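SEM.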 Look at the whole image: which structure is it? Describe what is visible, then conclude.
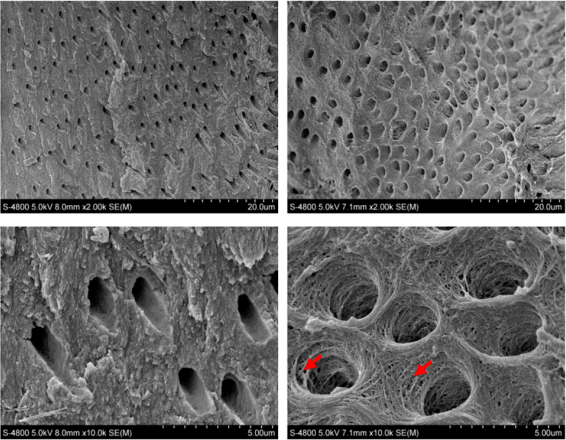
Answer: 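A hard surface is pierced by many regularly spaced round to oval openings. At higher magnification the openings are tube-like channels running into the surface.
Conclusion: dentinal tubules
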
